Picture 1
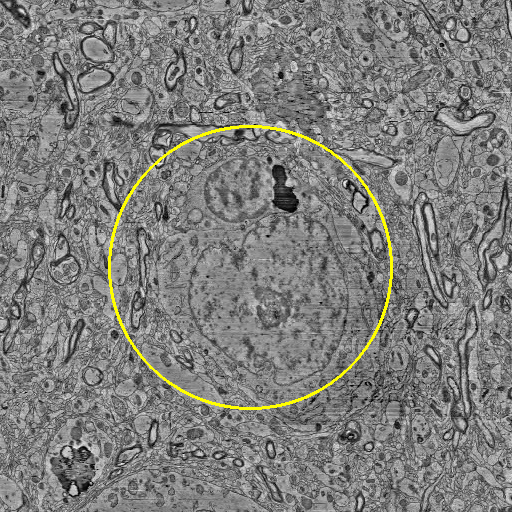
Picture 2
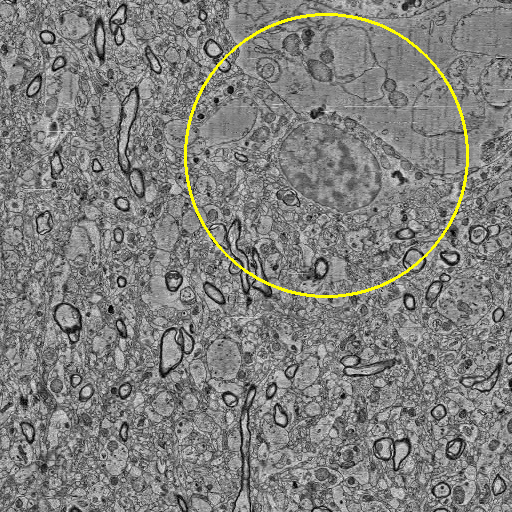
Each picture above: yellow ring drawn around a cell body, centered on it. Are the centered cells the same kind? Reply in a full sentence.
No, the two cells are two kinds of cell.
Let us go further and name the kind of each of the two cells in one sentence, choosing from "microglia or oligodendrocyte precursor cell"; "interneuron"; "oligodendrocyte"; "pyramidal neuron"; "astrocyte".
The ring of the first picture is on an interneuron, the ring of the second on an oligodendrocyte.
